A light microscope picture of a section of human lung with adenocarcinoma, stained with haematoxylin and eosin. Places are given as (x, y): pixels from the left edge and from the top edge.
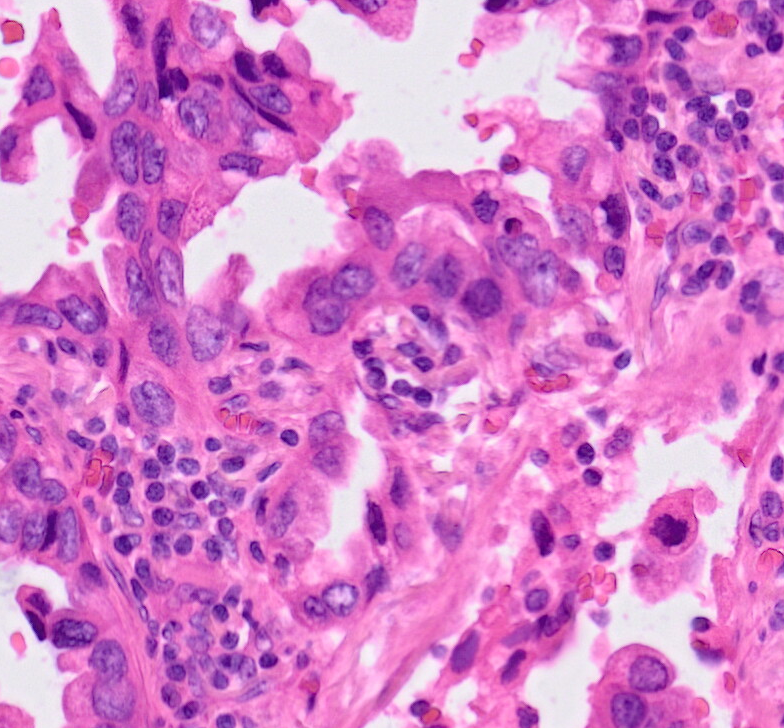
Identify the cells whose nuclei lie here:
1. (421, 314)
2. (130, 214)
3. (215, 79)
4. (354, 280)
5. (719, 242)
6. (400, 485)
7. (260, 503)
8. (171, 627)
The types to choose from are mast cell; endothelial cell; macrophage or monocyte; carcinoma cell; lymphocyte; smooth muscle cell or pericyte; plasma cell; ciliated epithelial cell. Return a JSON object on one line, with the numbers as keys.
{"1": "lymphocyte", "2": "carcinoma cell", "3": "carcinoma cell", "4": "carcinoma cell", "5": "lymphocyte", "6": "carcinoma cell", "7": "lymphocyte", "8": "lymphocyte"}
